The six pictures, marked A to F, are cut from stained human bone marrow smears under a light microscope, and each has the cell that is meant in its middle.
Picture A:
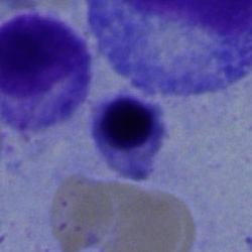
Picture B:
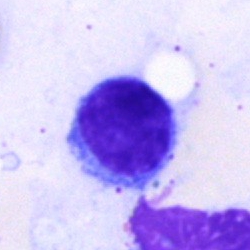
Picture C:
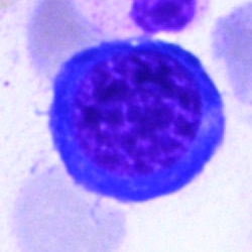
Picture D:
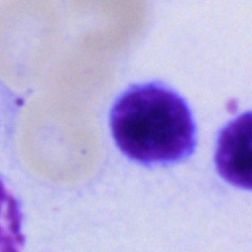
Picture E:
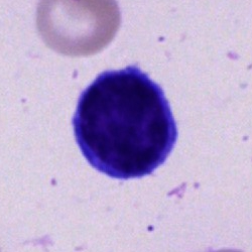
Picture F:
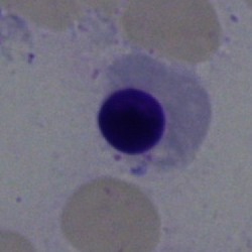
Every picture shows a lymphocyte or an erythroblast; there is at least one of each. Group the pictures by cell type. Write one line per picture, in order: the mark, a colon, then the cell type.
A: erythroblast
B: lymphocyte
C: erythroblast
D: lymphocyte
E: lymphocyte
F: erythroblast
